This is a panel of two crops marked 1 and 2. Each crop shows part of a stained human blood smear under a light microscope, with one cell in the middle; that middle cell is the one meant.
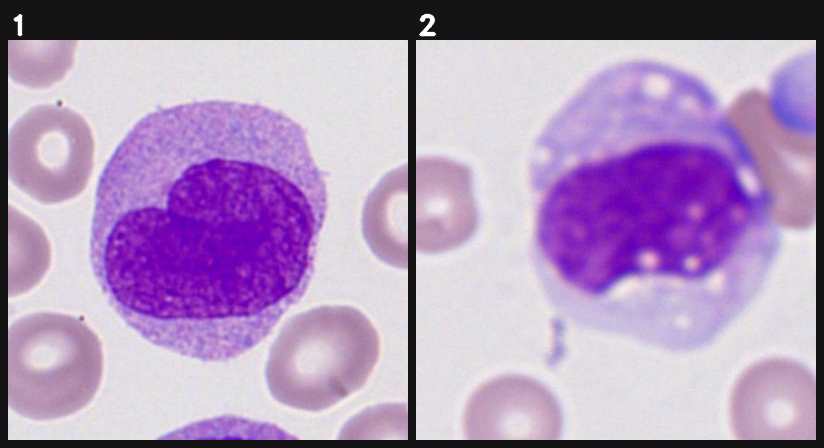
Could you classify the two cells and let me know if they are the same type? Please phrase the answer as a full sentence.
No, crop 1 is home to a myeloblast, and crop 2 to a monocyte.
